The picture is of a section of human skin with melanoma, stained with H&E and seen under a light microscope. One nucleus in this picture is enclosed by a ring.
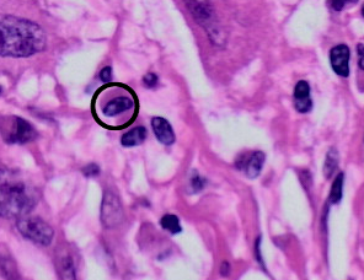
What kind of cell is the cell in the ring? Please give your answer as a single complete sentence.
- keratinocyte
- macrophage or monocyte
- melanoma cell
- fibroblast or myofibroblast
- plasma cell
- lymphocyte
The cell type of the cell in the ring is that of a plasma cell.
